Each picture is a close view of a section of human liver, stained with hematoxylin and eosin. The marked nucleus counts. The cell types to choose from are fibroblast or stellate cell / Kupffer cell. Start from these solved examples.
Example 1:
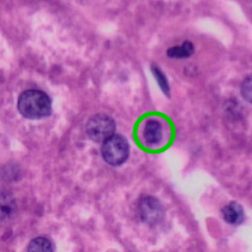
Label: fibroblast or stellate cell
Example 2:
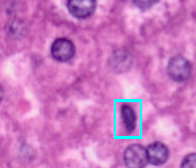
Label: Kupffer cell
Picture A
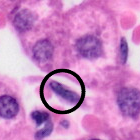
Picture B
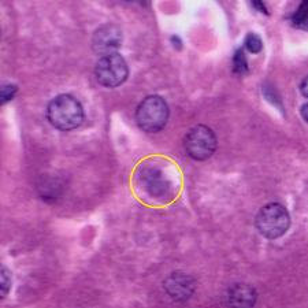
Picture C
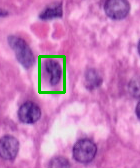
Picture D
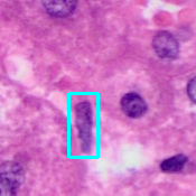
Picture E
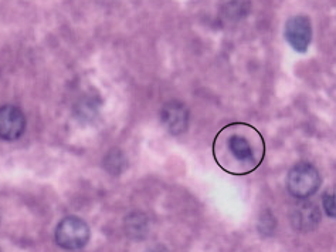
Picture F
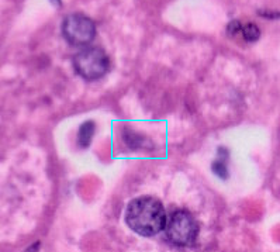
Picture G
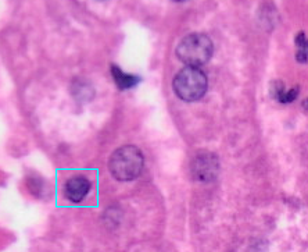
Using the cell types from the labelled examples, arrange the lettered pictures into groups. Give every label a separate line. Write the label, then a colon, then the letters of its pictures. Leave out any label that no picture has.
fibroblast or stellate cell: E, G
Kupffer cell: A, B, C, D, F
